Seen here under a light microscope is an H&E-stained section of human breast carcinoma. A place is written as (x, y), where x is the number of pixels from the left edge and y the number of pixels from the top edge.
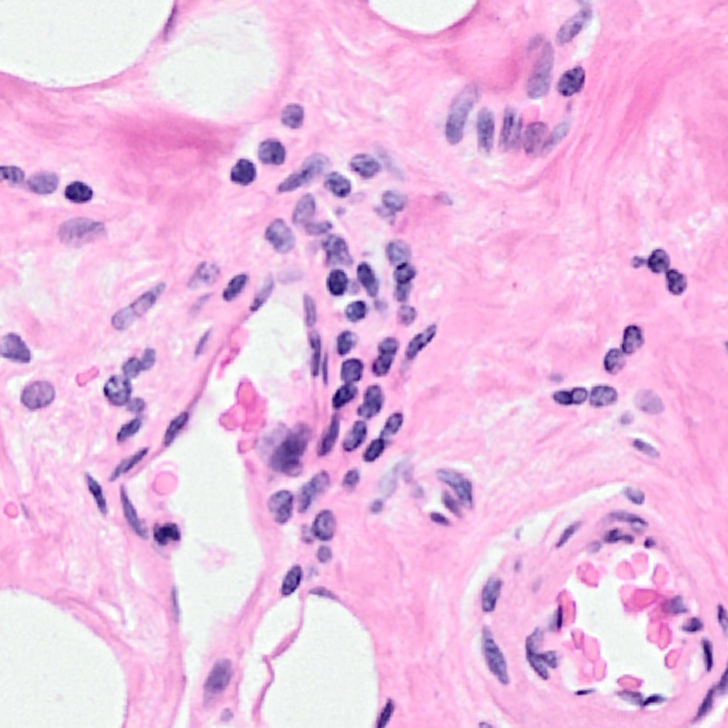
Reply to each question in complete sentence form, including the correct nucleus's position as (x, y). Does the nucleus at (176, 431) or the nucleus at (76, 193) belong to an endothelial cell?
The nucleus positioned at (176, 431) forms part of an endothelial cell.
